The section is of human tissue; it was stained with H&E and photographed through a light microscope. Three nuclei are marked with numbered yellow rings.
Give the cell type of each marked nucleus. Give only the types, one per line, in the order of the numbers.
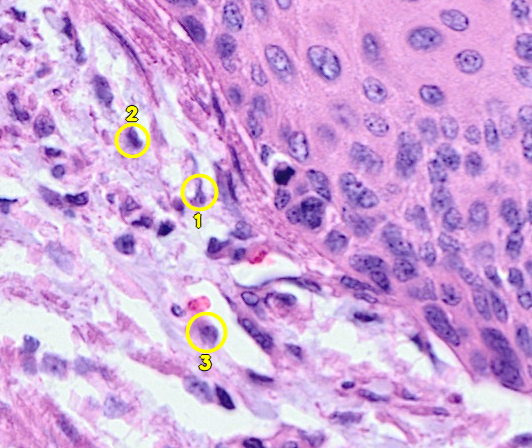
fibroblast
fibroblast
endothelial cell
